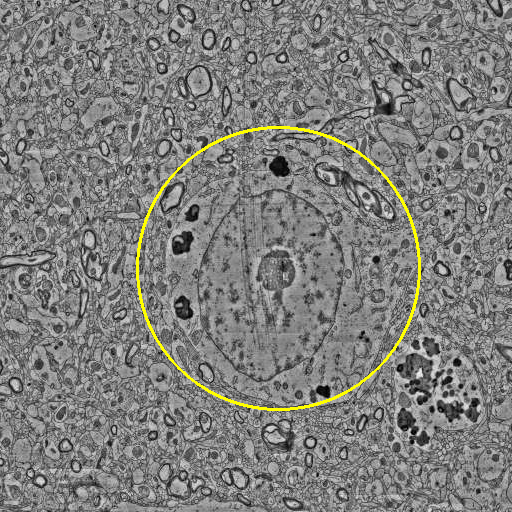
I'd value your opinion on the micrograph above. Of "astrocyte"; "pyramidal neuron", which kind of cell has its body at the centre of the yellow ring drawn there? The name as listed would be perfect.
pyramidal neuron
